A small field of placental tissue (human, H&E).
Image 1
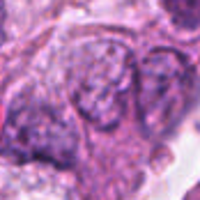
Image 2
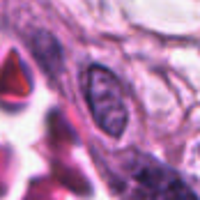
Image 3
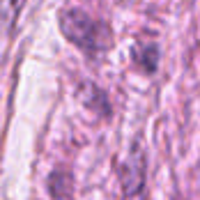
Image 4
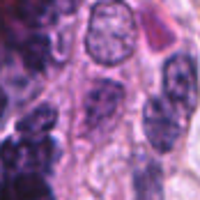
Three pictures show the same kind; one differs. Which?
Picture 3: a vascular myocyte, while the others are cytotrophoblasts.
